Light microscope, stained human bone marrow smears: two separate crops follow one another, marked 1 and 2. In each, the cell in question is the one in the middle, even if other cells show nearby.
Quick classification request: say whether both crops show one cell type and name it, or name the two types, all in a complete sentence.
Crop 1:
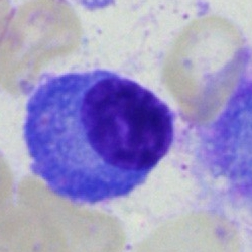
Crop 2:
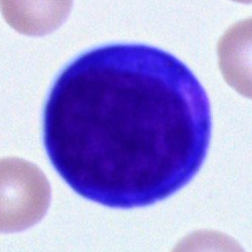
No, in crop 1 the cell is a plasma cell, and in crop 2 it is a proerythroblast.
